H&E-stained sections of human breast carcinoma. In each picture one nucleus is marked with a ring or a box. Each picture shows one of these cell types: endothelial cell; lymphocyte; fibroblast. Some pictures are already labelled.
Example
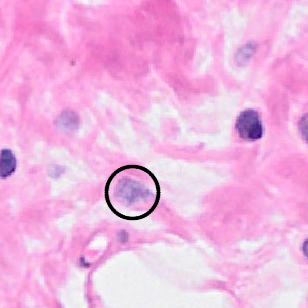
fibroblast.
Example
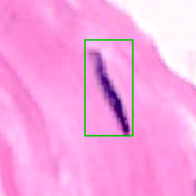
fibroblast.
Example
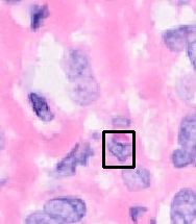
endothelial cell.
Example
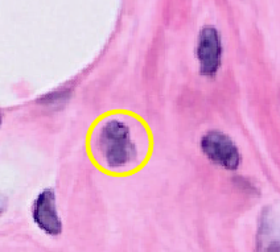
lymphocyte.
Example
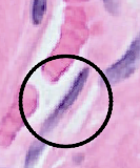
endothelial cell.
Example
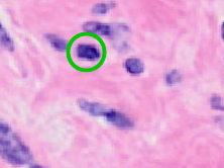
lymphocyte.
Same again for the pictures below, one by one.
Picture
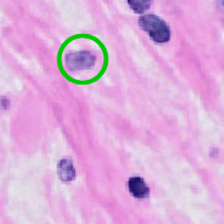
lymphocyte.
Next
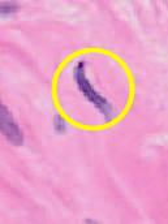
fibroblast.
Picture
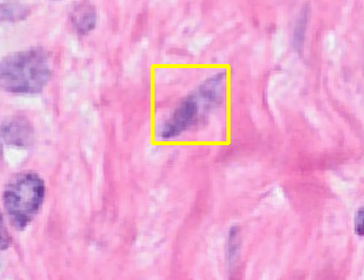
fibroblast.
